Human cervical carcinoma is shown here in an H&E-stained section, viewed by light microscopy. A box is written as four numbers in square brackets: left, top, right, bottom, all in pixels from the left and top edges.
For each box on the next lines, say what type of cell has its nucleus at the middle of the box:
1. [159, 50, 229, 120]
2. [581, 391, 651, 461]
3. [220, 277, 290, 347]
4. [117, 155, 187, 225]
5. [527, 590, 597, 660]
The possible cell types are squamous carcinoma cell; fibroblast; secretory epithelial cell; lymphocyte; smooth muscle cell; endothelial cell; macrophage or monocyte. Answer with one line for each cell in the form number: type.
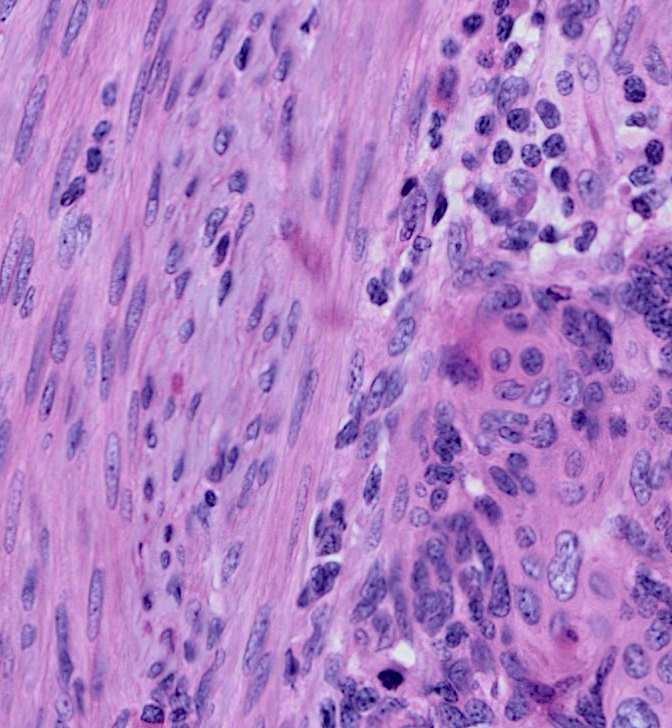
1: smooth muscle cell
2: squamous carcinoma cell
3: smooth muscle cell
4: smooth muscle cell
5: squamous carcinoma cell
